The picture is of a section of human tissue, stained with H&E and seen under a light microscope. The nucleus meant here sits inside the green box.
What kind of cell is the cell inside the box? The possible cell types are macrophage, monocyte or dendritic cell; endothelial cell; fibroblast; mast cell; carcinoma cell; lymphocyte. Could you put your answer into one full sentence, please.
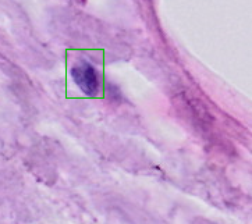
The expected answer is simply that the cell inside the box is a fibroblast.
